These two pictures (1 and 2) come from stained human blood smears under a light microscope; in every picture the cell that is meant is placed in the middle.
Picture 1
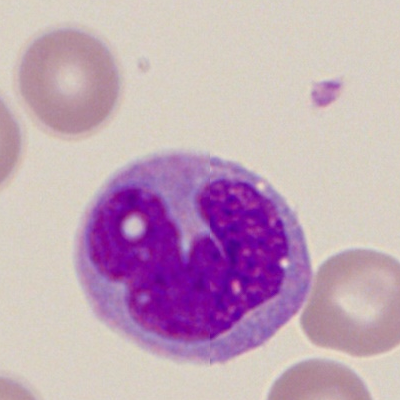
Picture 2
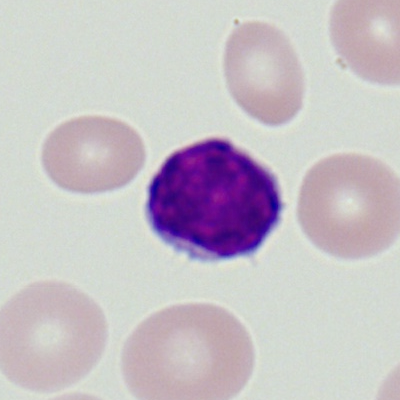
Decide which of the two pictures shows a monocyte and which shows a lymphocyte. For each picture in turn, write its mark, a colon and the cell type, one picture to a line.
1: monocyte
2: lymphocyte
